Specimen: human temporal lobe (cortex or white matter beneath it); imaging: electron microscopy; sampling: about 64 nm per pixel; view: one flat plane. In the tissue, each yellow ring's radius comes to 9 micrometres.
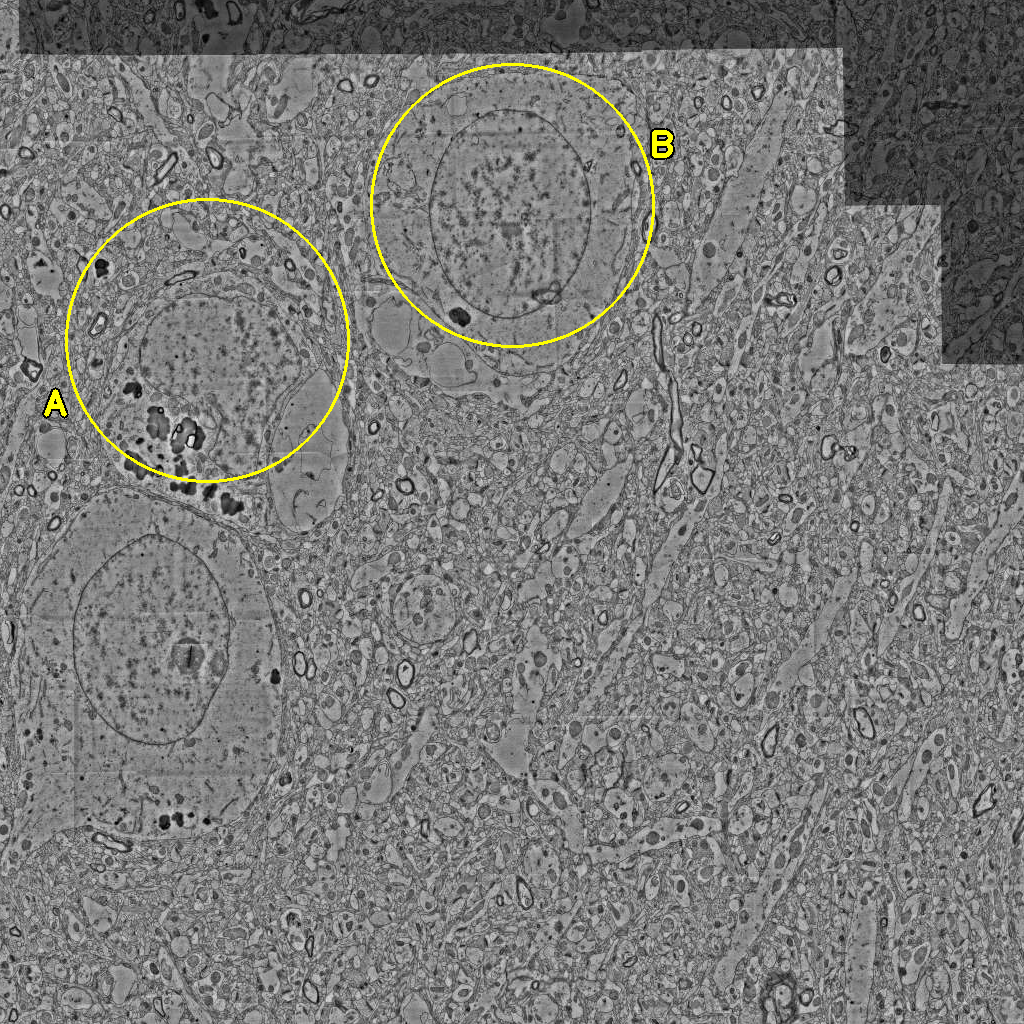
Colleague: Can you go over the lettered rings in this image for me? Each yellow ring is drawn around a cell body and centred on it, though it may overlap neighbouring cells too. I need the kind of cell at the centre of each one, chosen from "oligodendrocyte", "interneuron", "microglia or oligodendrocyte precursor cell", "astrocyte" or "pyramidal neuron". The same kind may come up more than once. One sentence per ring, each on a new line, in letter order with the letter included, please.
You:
Ring A marks the cell body of an interneuron.
Ring B marks the cell body of a pyramidal neuron.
